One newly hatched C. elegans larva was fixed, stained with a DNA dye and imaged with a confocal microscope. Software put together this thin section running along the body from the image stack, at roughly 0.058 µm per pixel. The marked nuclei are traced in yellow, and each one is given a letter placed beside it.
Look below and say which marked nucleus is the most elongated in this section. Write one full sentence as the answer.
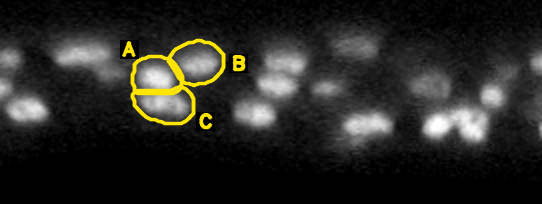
Of the marked nuclei, C is the most stretched out.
